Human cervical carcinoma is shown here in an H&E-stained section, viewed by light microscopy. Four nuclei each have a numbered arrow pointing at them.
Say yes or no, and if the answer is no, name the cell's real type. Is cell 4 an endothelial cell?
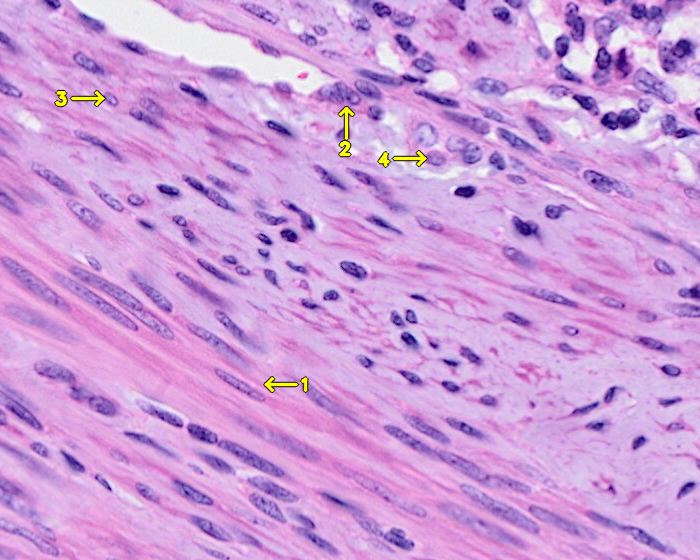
Yes.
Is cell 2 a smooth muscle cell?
No, it is an endothelial cell.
